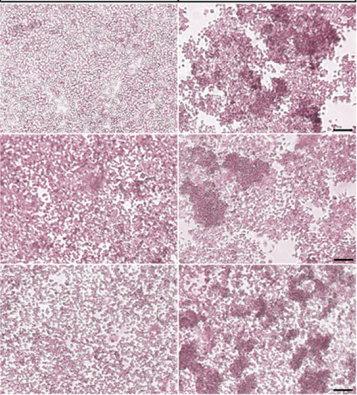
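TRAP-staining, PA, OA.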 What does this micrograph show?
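Six brightfield fields of densely packed small round cells in culture, stained in pink to red on a pale background. In the right-hand column the cells gather into irregular, intensely dark purple-red patches, which are sparser in the middle row. In the left-hand column the staining is more evenly spread and paler, without such dark patches.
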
